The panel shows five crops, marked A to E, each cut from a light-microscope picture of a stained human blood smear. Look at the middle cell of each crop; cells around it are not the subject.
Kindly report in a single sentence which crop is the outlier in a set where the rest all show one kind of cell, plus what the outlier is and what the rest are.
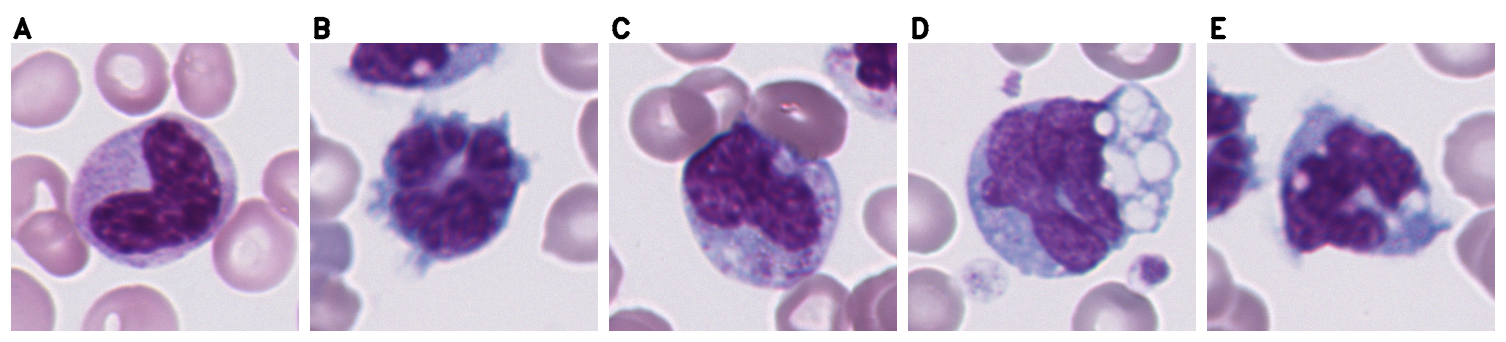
Here the outlier is crop A, which is a band neutrophil, and the rest are monocytes.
